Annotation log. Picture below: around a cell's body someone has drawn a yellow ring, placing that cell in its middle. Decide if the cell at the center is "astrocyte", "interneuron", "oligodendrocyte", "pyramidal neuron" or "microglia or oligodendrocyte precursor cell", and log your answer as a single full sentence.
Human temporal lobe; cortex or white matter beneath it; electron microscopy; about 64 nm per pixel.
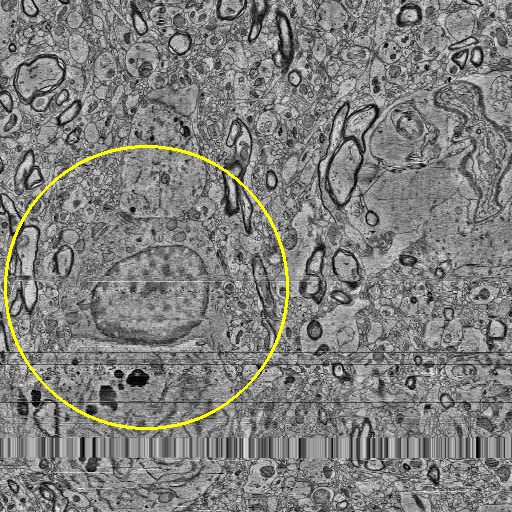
My entry records an oligodendrocyte as the cell sitting at the center of the yellow ring.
